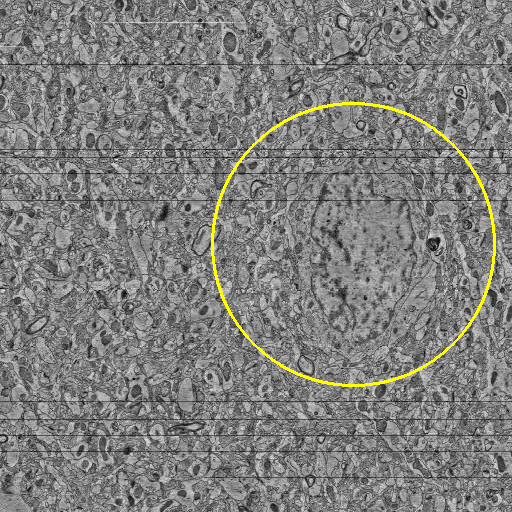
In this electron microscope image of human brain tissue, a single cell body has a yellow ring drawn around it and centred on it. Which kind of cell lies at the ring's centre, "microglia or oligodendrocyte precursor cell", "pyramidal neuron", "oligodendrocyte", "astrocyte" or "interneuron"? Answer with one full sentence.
It is an interneuron whose cell body lies at the centre of the yellow ring here.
